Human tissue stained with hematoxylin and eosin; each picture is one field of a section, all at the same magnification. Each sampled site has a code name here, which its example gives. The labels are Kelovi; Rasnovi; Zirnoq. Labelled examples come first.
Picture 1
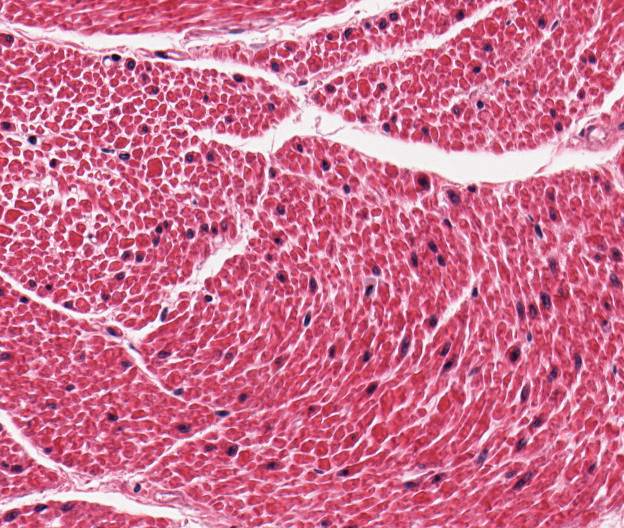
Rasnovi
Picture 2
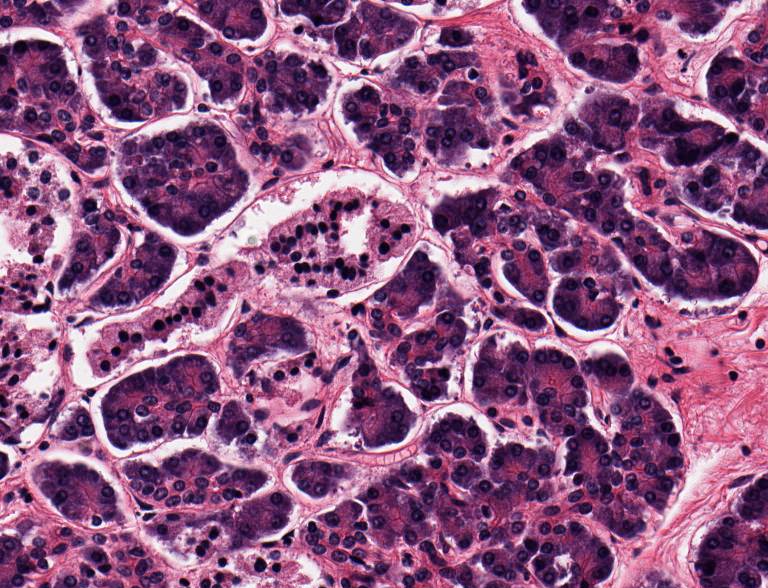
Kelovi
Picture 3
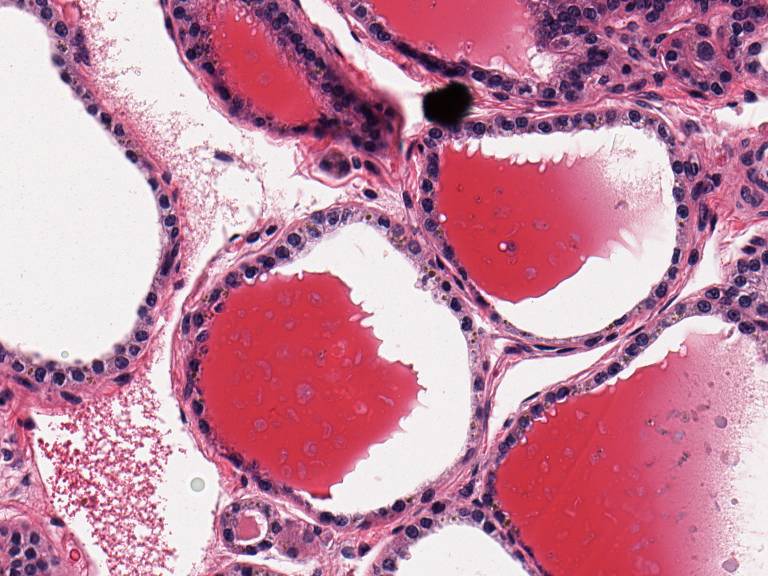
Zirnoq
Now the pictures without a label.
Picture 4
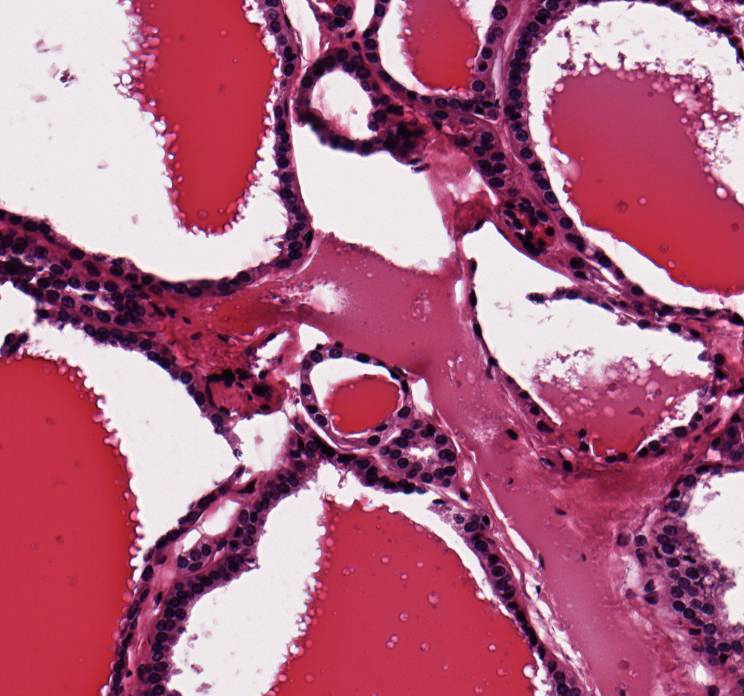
Zirnoq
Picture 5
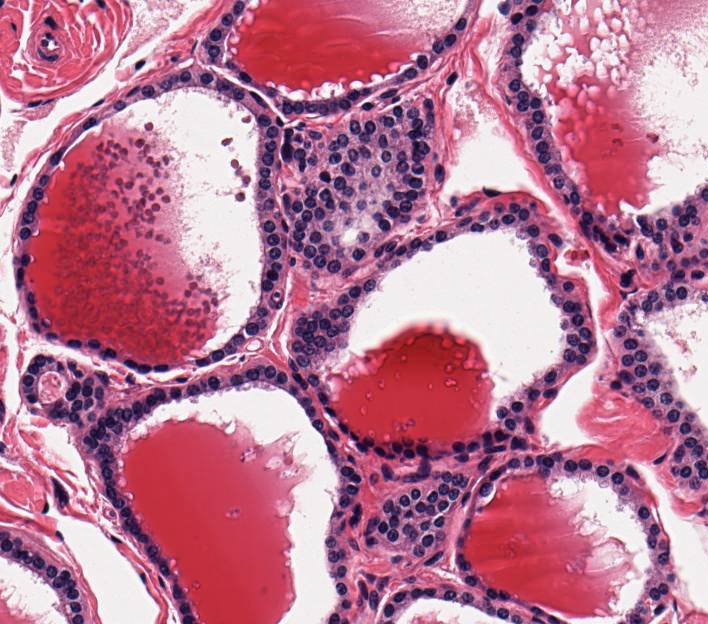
Zirnoq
